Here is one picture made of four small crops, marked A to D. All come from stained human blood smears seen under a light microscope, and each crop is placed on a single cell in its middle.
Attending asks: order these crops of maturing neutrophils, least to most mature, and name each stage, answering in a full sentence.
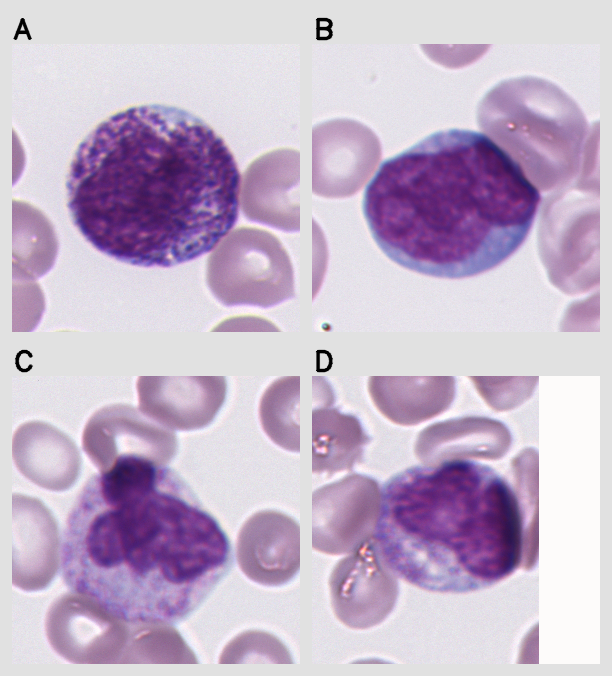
Proceeding from least to most mature, the order is crop B (a myeloblast), crop A (a myelocyte), crop D (a metamyelocyte) and crop C (a segmented neutrophil).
